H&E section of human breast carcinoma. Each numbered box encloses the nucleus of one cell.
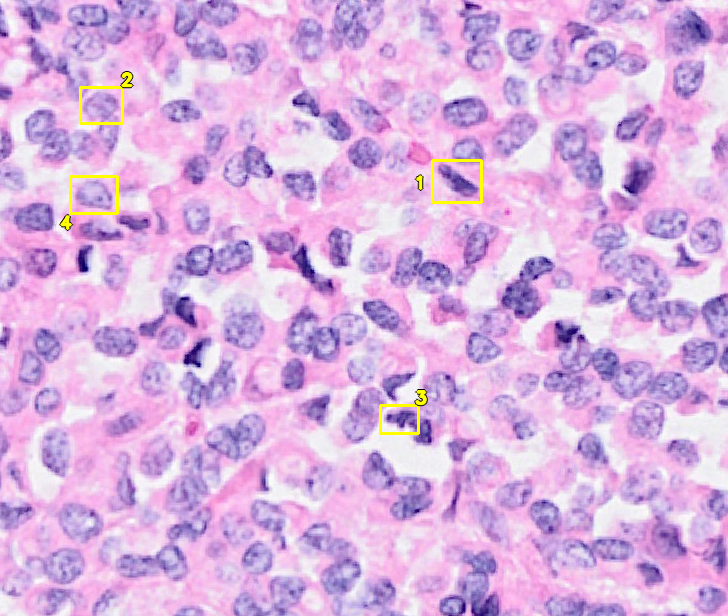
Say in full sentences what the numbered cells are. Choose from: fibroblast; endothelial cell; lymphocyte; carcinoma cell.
Cell 1 is an endothelial cell, cell 2 is a carcinoma cell, cell 3 is a carcinoma cell and cell 4 is a carcinoma cell.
